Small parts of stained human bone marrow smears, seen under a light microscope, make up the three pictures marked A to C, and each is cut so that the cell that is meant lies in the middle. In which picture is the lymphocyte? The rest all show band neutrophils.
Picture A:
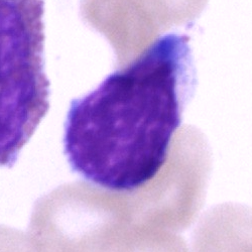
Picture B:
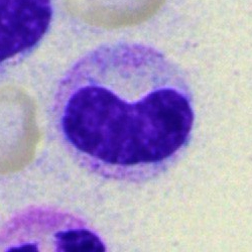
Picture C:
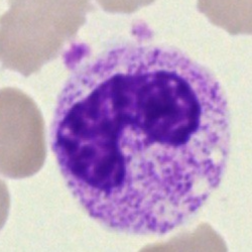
A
